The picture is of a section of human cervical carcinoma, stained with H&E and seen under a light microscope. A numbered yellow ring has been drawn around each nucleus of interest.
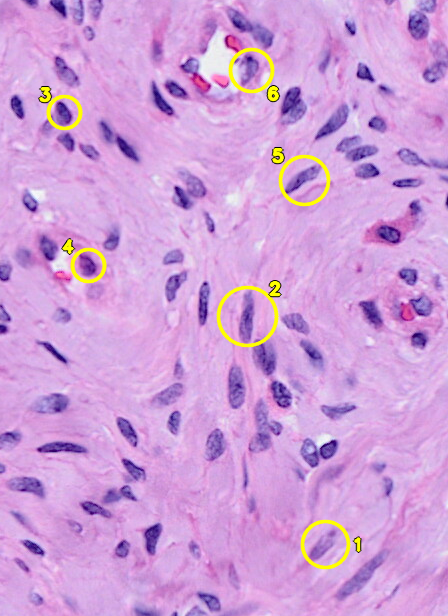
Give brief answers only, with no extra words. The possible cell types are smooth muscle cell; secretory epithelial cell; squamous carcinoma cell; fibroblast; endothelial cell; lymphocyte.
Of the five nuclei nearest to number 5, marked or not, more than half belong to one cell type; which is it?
fibroblast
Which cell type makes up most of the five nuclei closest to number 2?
fibroblast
